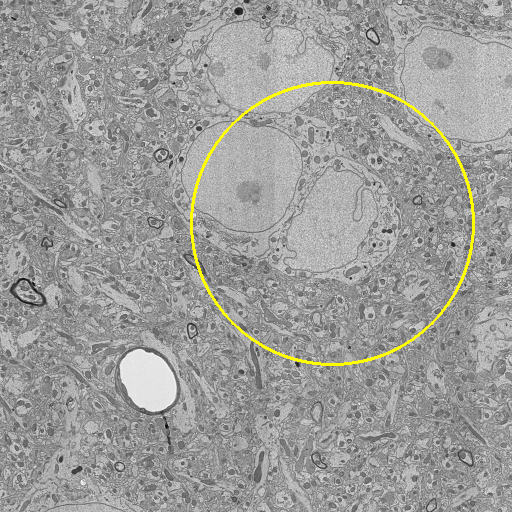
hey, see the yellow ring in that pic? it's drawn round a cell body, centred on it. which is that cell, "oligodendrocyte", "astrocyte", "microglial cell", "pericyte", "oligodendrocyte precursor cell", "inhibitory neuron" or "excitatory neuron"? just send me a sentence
The cell in the ring is an inhibitory neuron.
